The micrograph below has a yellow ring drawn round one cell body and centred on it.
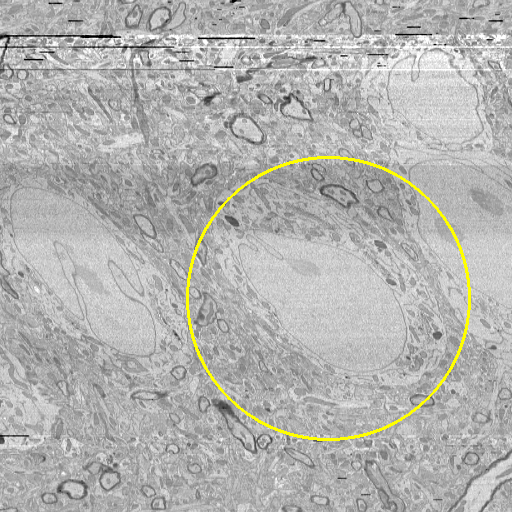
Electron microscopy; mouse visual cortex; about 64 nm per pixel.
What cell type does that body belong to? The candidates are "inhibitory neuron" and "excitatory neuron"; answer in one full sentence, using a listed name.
This is an inhibitory neuron, the cell whose body lies at the centre of the ring.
